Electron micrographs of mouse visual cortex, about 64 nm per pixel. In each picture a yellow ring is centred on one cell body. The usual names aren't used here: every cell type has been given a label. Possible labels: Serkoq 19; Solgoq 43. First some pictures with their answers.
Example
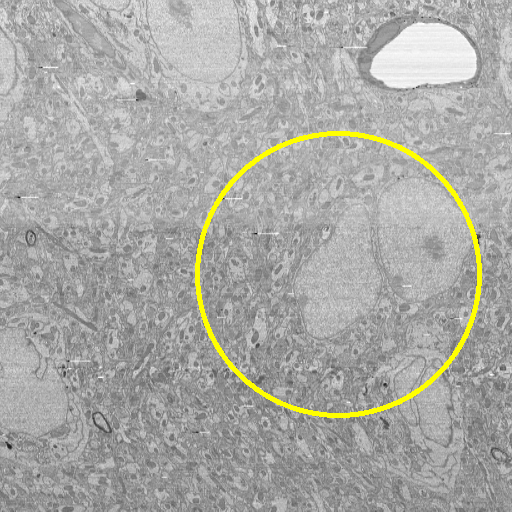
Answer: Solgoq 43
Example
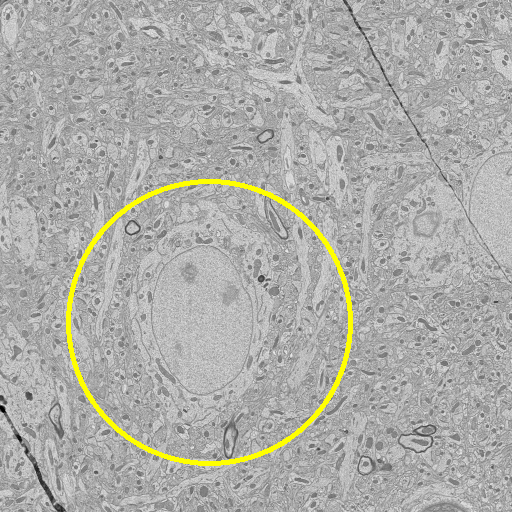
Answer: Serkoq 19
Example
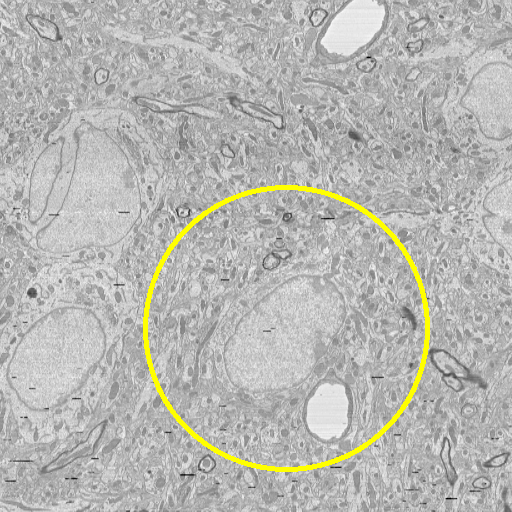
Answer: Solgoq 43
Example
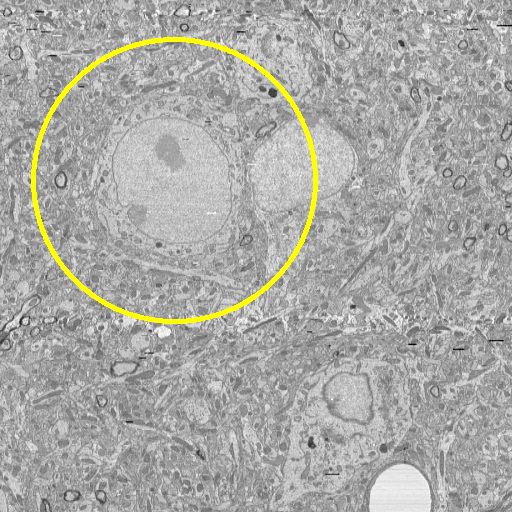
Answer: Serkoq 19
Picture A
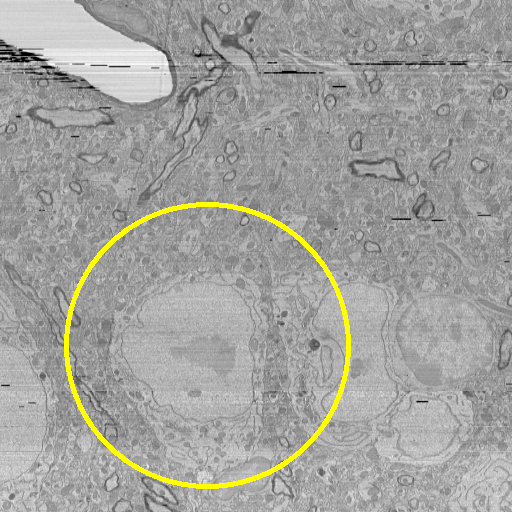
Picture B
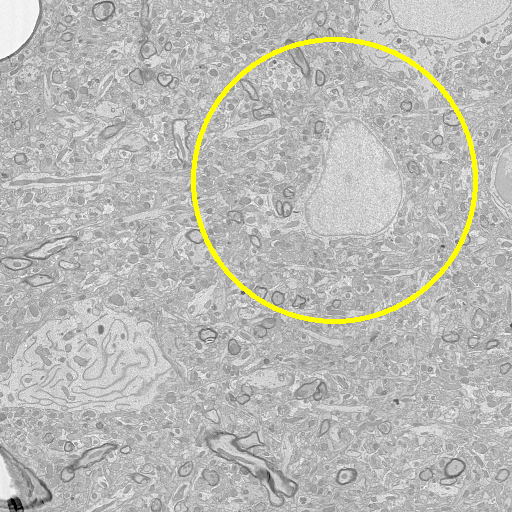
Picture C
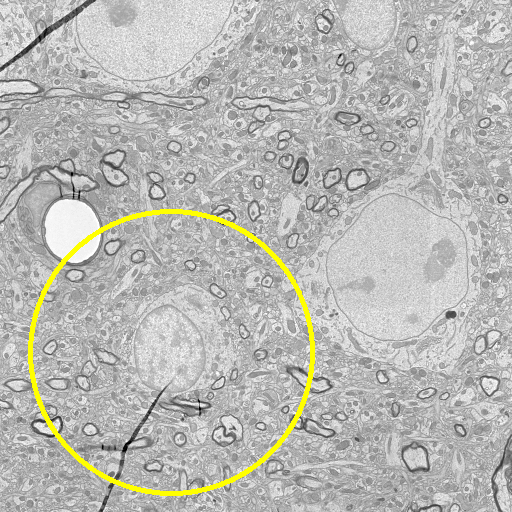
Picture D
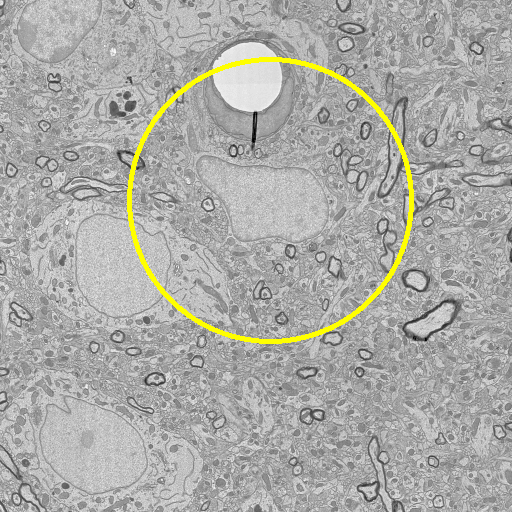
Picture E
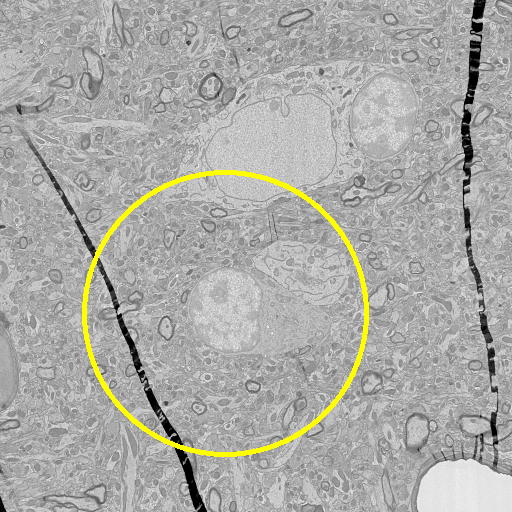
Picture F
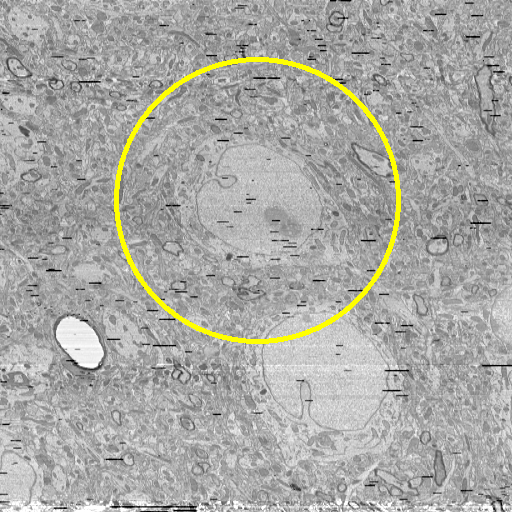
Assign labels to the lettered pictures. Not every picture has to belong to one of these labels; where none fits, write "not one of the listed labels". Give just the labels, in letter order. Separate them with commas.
Serkoq 19, Solgoq 43, not one of the listed labels, Solgoq 43, not one of the listed labels, Serkoq 19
